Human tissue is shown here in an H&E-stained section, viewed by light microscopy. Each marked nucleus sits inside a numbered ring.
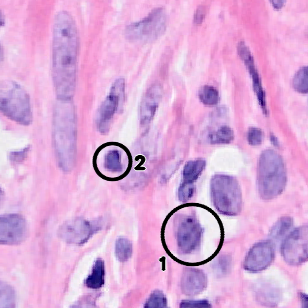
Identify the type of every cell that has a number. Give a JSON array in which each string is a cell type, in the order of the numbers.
["carcinoma cell", "lymphocyte"]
